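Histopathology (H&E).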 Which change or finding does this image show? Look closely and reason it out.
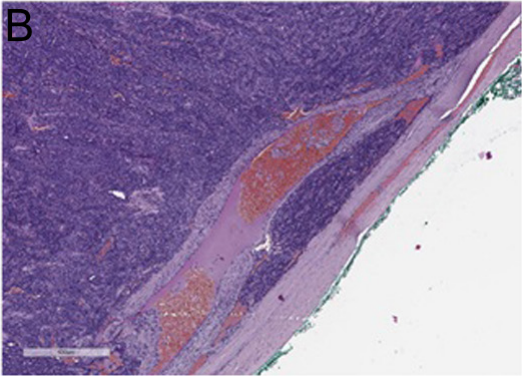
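A pink fibrous band runs diagonally along the lower right edge of a dark purple cellular mass. Within this band lie vessel spaces filled with red blood cells. A tongue of dark purple tumor cells lies within a vessel space inside the band. So: vascular invasion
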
